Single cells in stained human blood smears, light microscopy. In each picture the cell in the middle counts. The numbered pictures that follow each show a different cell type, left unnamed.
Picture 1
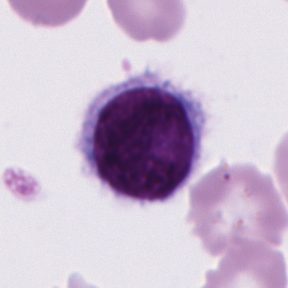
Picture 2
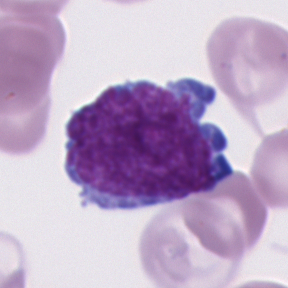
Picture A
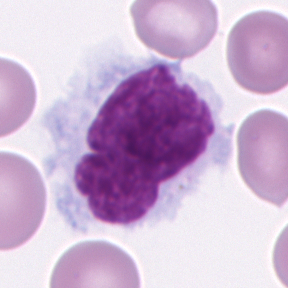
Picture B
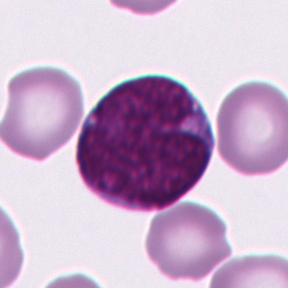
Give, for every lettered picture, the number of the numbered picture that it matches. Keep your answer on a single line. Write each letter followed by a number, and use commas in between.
A 1, B 2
